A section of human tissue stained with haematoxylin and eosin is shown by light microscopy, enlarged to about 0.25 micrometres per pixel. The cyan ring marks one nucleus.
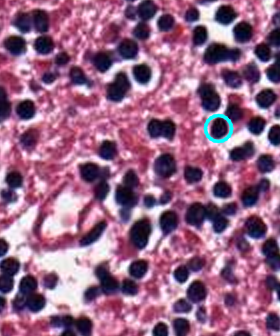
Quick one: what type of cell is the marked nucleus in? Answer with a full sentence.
The nucleus indicated by the mark belongs to a cerebellar granule cell.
